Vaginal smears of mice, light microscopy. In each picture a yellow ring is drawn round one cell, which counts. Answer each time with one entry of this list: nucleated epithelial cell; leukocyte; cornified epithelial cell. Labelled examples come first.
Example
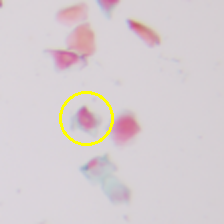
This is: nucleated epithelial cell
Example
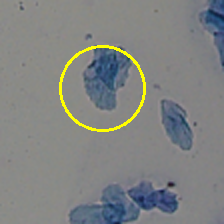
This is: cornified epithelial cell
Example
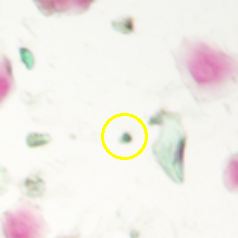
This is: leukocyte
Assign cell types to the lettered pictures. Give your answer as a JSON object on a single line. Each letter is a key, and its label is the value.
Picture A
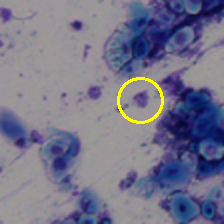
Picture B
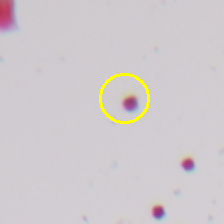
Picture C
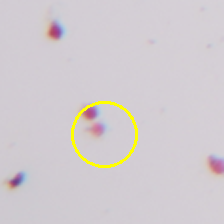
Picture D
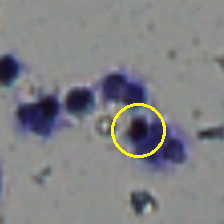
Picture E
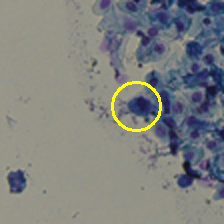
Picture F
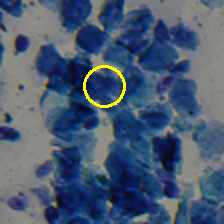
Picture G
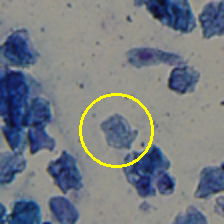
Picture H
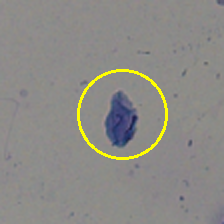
{"A": "leukocyte", "B": "leukocyte", "C": "leukocyte", "D": "leukocyte", "E": "nucleated epithelial cell", "F": "cornified epithelial cell", "G": "cornified epithelial cell", "H": "cornified epithelial cell"}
